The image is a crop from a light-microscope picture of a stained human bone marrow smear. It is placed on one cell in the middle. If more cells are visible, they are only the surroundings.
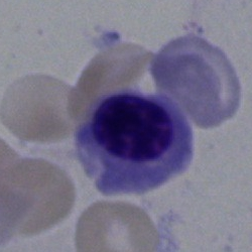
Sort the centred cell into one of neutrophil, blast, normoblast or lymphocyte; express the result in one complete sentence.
In short, the cell at the center is a normoblast.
